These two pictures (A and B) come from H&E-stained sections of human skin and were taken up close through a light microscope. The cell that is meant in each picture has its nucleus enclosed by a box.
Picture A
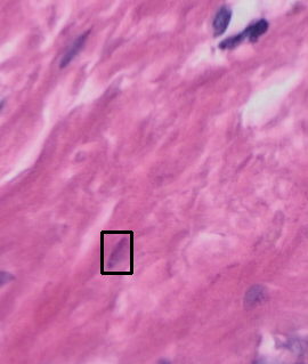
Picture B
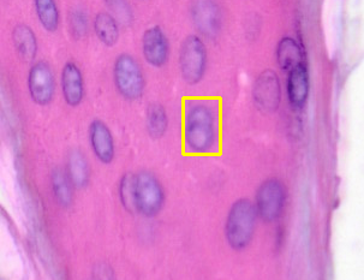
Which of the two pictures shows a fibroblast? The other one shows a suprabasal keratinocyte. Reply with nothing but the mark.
A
